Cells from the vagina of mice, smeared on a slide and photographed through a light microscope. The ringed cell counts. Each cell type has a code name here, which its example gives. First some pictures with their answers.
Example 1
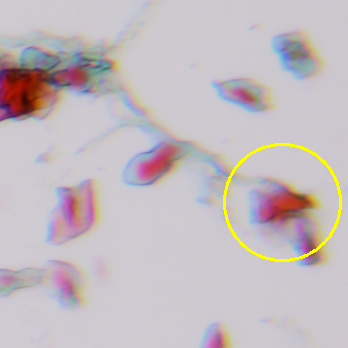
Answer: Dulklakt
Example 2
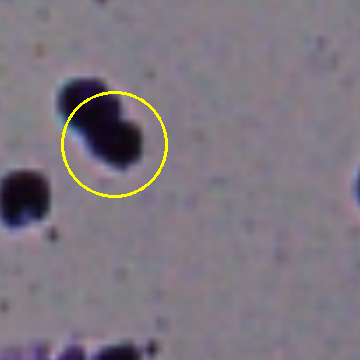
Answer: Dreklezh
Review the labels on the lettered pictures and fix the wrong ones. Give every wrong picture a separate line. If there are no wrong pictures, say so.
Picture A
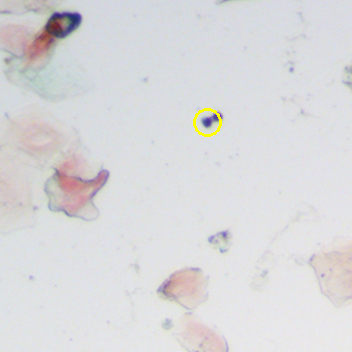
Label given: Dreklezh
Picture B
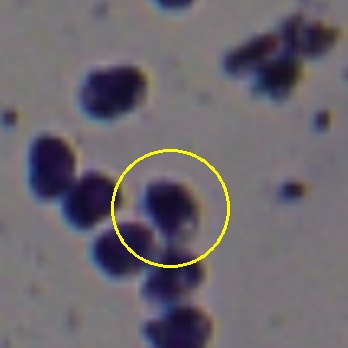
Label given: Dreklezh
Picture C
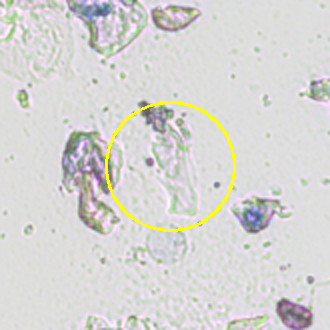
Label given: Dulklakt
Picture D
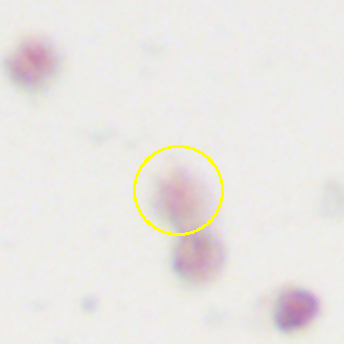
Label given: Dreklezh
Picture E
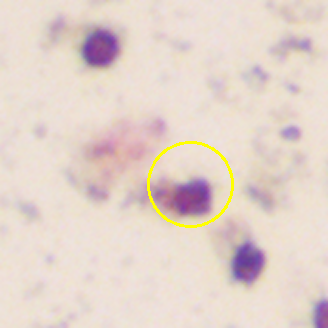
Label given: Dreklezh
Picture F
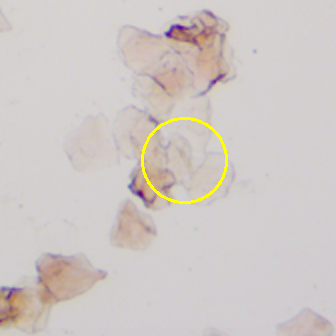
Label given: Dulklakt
None of the labels needs changing.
